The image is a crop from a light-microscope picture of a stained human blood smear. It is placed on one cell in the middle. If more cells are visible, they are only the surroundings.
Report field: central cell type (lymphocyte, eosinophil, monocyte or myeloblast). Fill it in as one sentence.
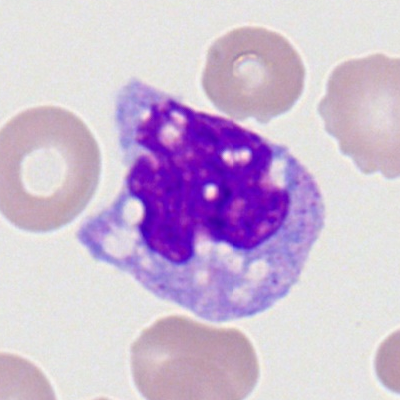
The centrally positioned cell in the crop represents a monocyte.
